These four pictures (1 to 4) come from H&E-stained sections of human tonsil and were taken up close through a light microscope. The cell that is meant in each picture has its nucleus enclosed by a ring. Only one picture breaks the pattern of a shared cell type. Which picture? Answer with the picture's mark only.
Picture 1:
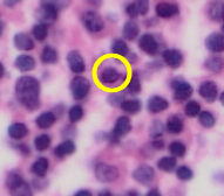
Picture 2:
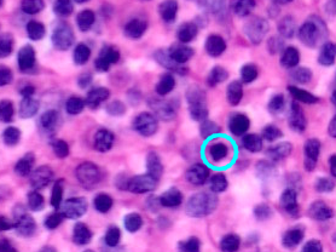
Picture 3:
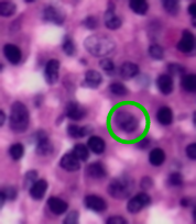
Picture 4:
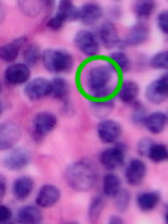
3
